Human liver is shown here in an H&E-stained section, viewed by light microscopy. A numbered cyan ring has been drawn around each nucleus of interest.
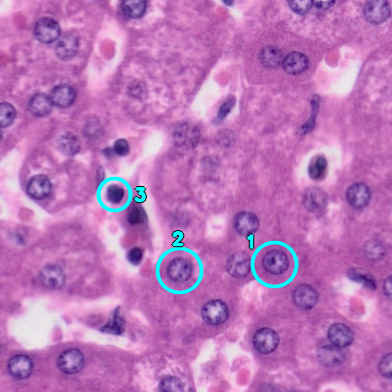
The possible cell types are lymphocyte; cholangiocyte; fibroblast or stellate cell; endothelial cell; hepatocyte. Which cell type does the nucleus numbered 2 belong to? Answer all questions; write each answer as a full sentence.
Nucleus 2 in this section belongs to a hepatocyte.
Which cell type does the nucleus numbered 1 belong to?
Of the numbered cells, the one labelled 1 is a hepatocyte.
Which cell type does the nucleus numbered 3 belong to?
Nucleus 3 in this section belongs to a lymphocyte.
